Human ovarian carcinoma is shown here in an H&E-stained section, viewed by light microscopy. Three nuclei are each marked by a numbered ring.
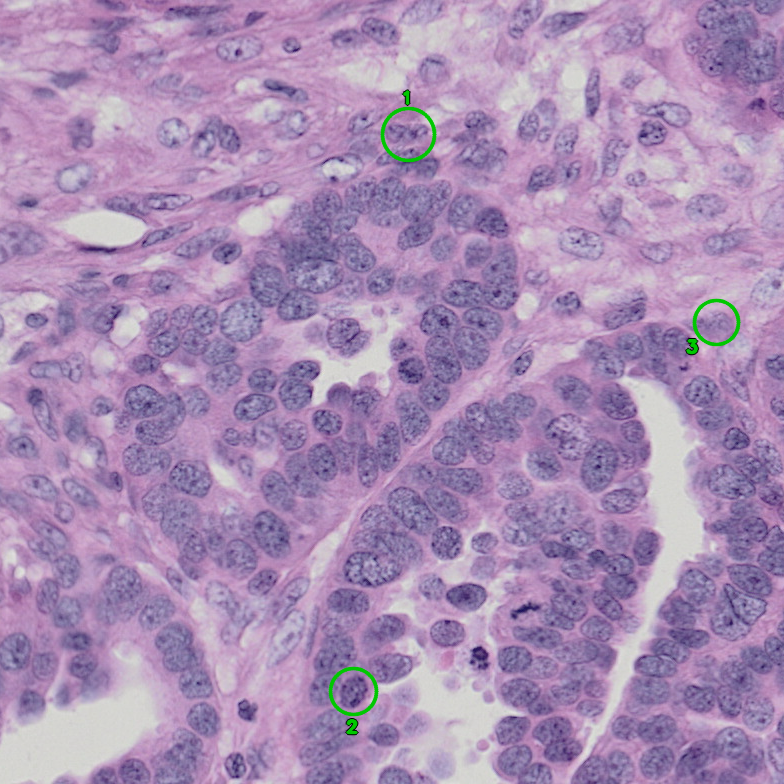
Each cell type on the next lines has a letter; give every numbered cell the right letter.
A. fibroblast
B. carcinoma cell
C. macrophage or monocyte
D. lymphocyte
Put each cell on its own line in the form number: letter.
1: C
2: B
3: A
